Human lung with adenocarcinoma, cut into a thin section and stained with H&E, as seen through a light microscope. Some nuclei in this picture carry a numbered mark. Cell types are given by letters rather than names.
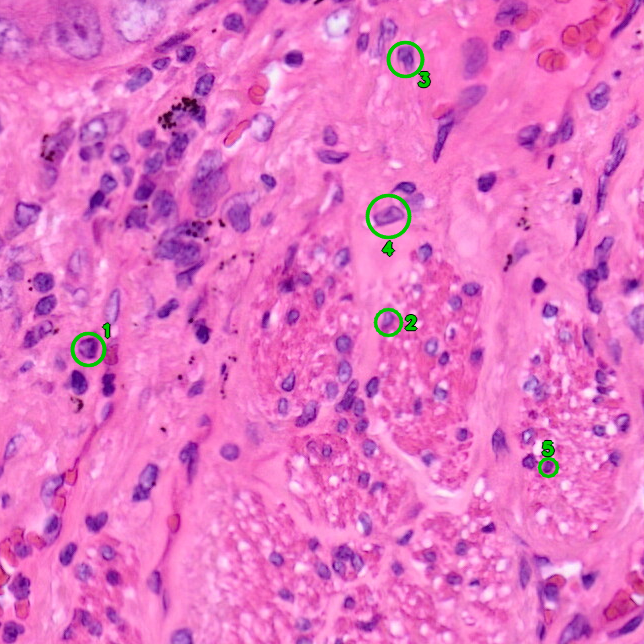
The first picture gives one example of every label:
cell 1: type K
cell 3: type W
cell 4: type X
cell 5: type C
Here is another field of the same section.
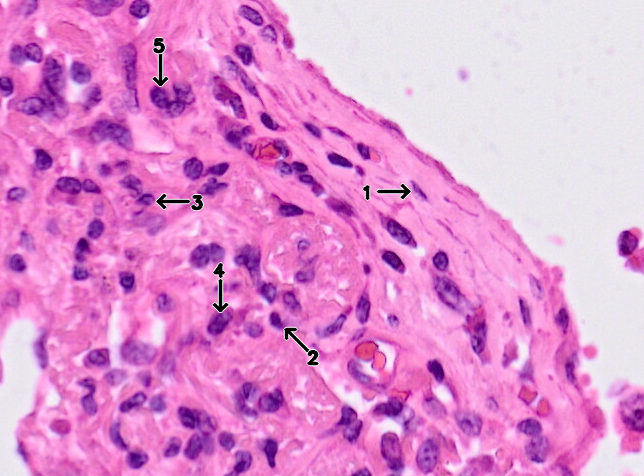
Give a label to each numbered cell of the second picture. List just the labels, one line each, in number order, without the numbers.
type X
type W
type W
type K
type W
